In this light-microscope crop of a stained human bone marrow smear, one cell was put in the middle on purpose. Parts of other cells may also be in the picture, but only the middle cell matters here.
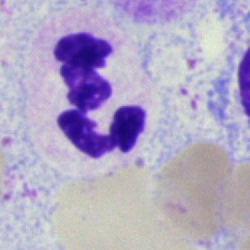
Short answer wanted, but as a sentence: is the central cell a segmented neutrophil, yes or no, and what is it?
Yes, shown in the middle of the crop is a segmented neutrophil.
